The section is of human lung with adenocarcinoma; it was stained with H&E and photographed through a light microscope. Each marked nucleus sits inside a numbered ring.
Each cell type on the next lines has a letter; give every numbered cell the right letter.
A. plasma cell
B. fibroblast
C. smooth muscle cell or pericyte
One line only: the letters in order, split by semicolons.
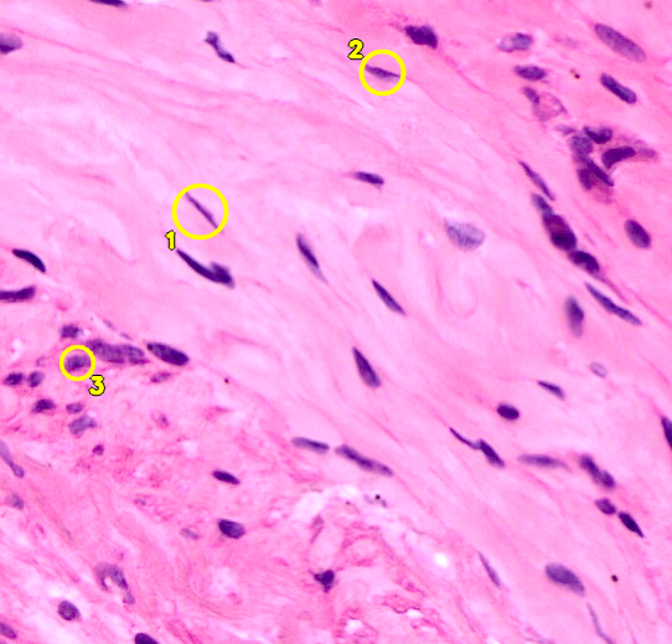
B; B; C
